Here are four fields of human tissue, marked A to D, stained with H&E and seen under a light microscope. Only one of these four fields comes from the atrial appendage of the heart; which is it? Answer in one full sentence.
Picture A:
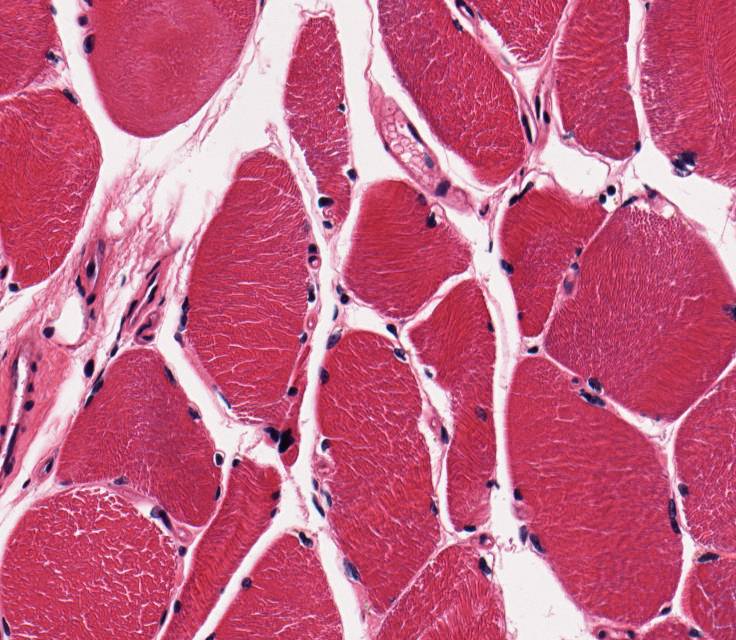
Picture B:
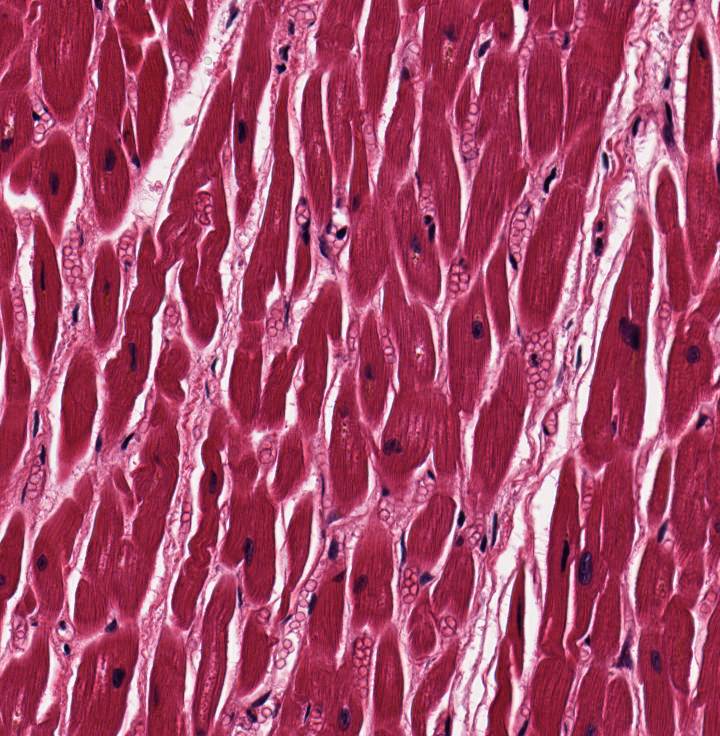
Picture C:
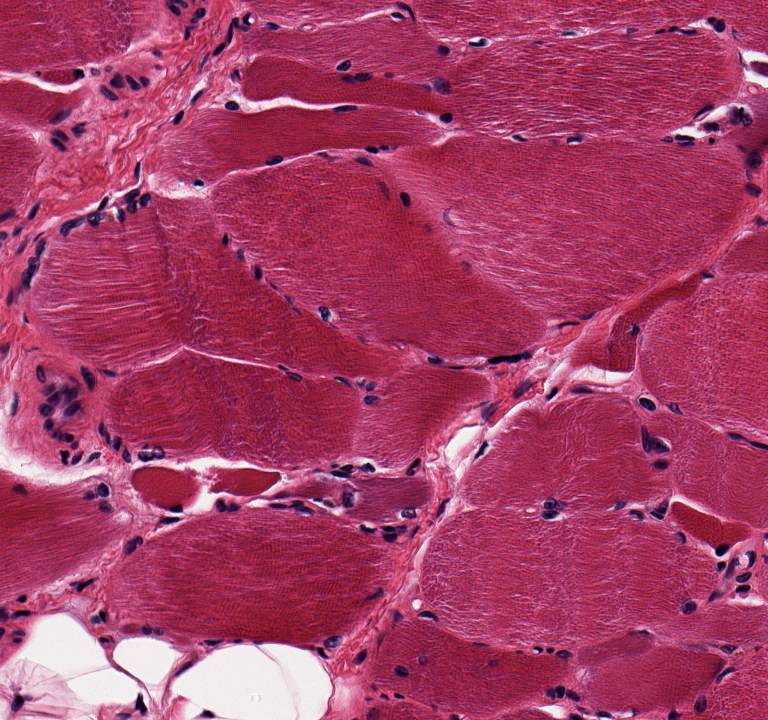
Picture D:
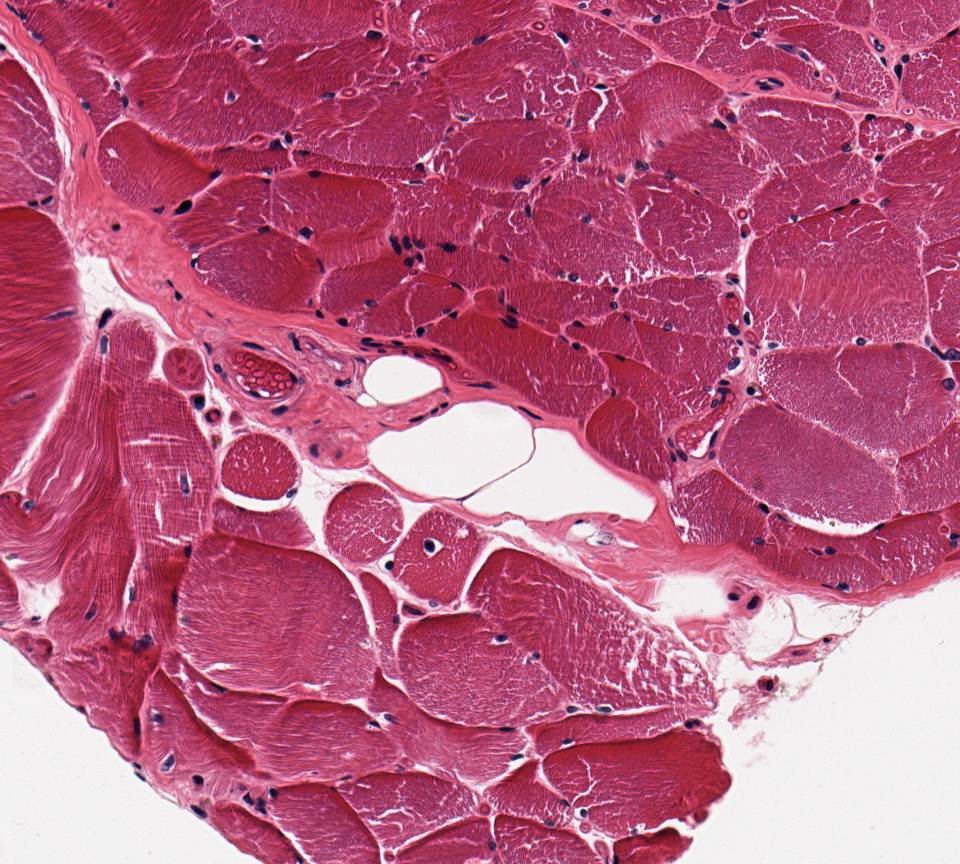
Picture B comes from the atrial appendage of the heart.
